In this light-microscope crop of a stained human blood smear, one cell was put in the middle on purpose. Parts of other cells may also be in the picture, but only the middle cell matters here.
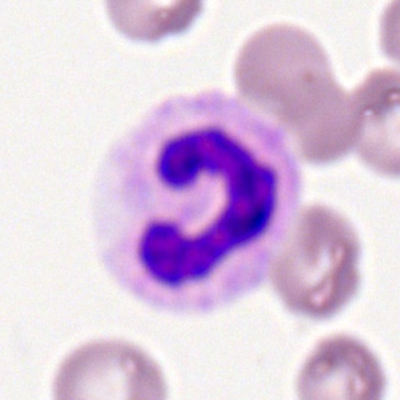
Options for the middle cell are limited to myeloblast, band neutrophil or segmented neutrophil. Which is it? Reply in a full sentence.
The cell at the central position in this crop is a band neutrophil.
